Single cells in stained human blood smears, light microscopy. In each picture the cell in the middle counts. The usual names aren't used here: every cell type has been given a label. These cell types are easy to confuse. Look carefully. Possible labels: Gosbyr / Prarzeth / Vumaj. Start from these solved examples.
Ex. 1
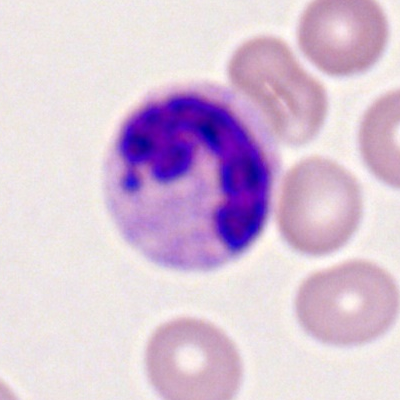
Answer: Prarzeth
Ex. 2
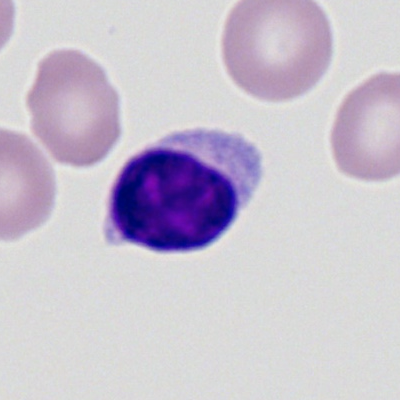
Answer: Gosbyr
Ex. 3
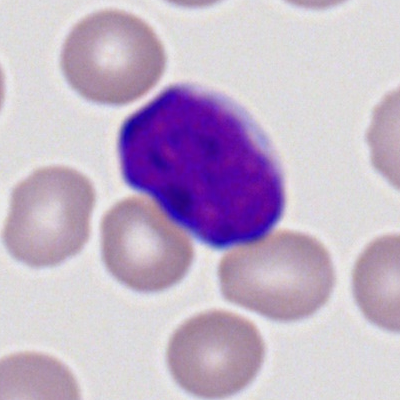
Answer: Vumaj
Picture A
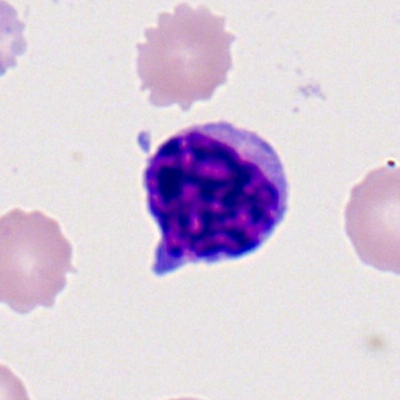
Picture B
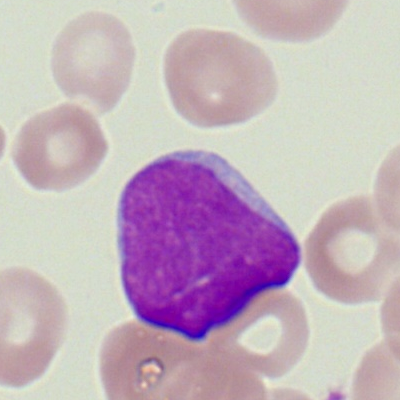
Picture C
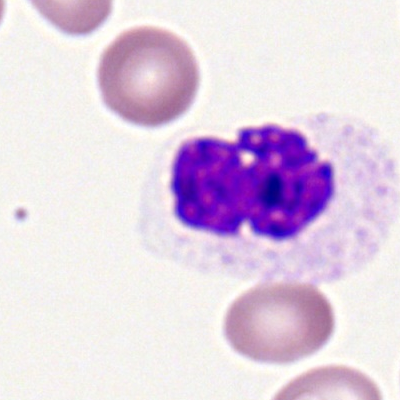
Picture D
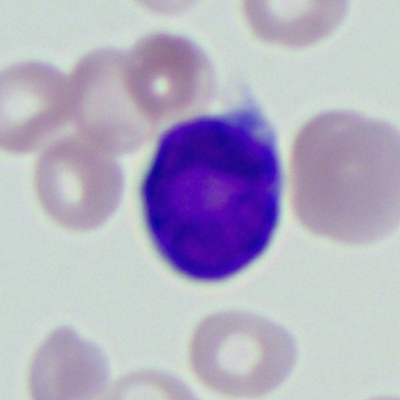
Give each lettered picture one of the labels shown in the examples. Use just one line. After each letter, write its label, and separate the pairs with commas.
A Gosbyr, B Vumaj, C Prarzeth, D Vumaj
